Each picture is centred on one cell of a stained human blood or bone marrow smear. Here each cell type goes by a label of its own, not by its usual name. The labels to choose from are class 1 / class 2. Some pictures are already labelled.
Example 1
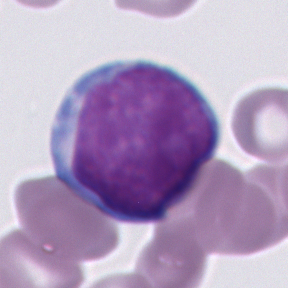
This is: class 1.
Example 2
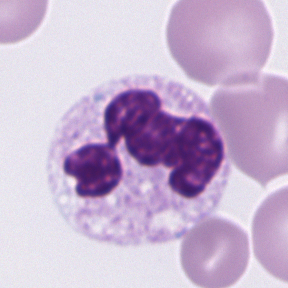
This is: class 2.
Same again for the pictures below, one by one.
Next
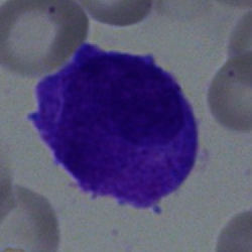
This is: class 1.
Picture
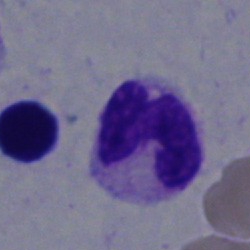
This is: class 2.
